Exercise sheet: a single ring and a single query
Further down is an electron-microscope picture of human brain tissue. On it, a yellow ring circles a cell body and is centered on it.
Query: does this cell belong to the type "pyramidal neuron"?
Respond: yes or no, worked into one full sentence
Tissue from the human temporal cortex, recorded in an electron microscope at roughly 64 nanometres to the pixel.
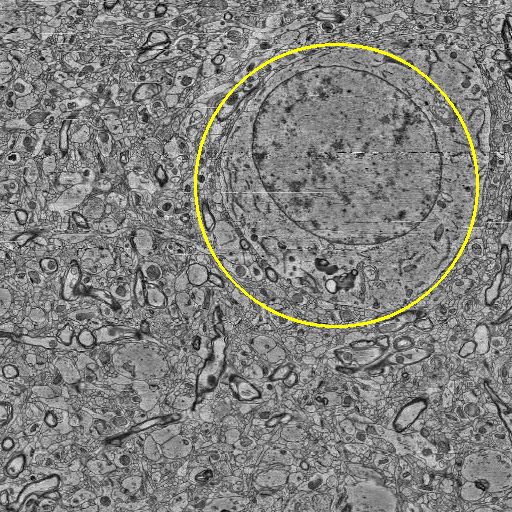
Yes, this ringed cell, found at the center of the ring in the picture, is of that type.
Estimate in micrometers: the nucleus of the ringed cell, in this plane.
The ringed cell's nucleus is about 13 micrometres long and 11 micrometres wide in this plane.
